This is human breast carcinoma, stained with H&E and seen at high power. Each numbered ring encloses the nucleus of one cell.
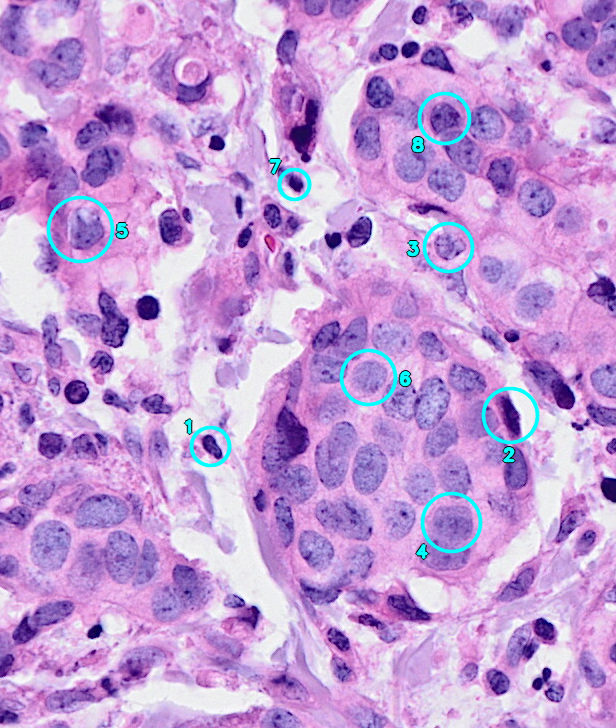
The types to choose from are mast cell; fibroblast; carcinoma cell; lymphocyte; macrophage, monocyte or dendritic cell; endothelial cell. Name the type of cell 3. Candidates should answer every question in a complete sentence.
Regarding cell 3, this one is a macrophage, monocyte or dendritic cell.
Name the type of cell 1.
Cell number 1 in this section is a lymphocyte.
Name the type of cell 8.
The nucleus marked 8 is the nucleus of a carcinoma cell.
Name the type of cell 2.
That cell with number 2 is a carcinoma cell.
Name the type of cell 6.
That cell with number 6 is a carcinoma cell.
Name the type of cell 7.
The nucleus labelled 7 belongs to a lymphocyte.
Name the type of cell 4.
Cell 4 of the marked set is a carcinoma cell.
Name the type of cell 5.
The expected answer is that cell 5 is a carcinoma cell.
